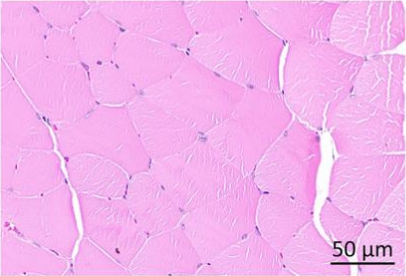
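This transverse section of skeletal muscle shows muscle fibers cut across as large, closely packed polygonal profiles with uniformly pink cytoplasm. Their nuclei are small, flattened and dark purple, and they lie at the edges of the fibers, pressed against the fiber borders, rather than in the centres. Thin pale lines mark the narrow spaces between neighbouring fibers. A few wider white clefts cross the field, most likely where the tissue separated during sectioning. The fibers vary somewhat in size, but most are broad and angular, with few nuclei in the field relative to the area of cytoplasm.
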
